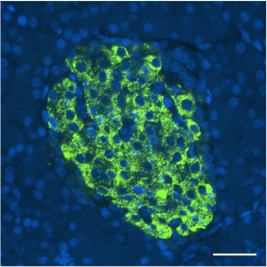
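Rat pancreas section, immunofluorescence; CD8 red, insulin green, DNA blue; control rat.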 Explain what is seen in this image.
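A pancreatic islet sits as a compact, roughly oval cluster of endocrine cells within the surrounding gland. The edge of the islet is fairly sharp against the surrounding tissue, whose cells show blue nuclei but no green.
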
